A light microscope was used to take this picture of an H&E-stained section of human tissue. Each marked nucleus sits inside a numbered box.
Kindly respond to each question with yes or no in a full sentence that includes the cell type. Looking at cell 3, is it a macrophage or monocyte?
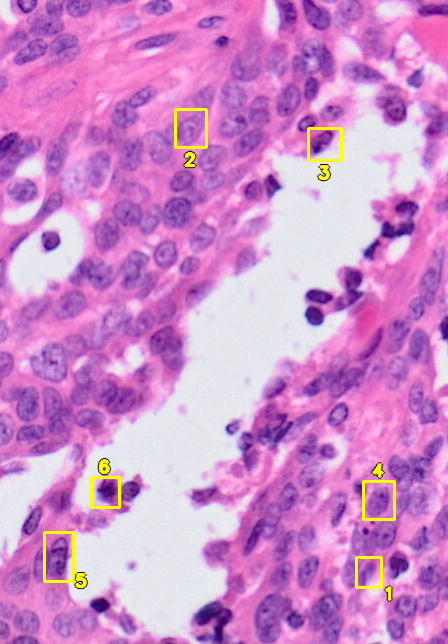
Yes, kindly take note: the cell numbered 3 is a macrophage or monocyte.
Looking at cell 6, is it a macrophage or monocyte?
Yes, the one with the number 6 is a macrophage or monocyte.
